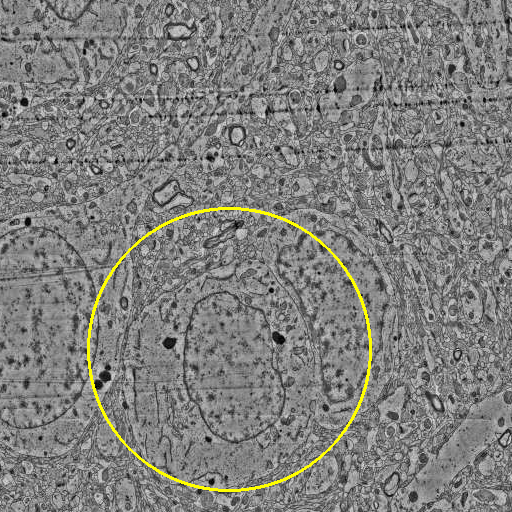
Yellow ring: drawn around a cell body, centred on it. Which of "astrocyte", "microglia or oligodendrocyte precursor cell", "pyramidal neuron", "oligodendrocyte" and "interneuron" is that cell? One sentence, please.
That cell body is from a pyramidal neuron.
